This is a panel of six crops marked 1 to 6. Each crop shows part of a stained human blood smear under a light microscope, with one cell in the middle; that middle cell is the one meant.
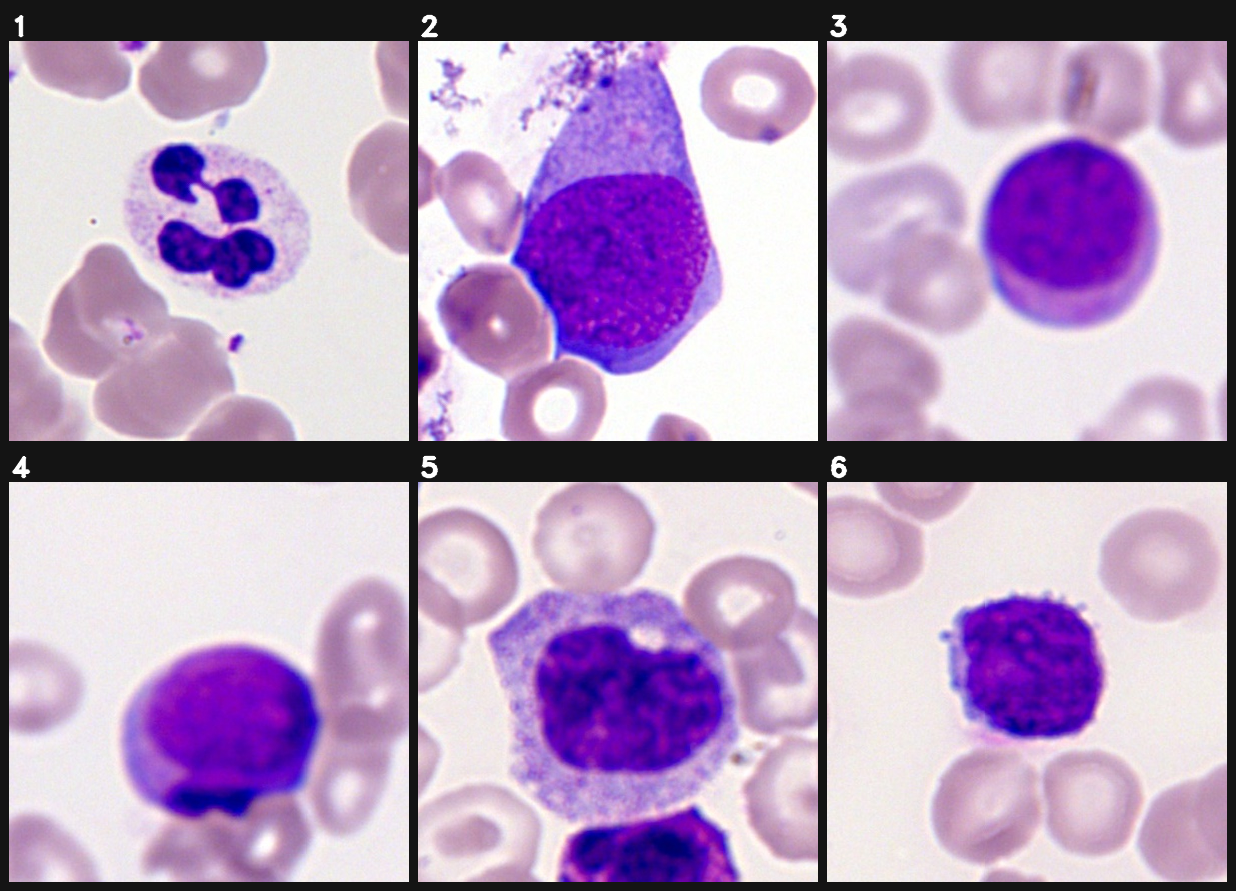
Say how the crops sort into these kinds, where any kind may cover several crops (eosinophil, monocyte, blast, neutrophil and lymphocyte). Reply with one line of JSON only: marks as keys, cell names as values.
{"1": "neutrophil", "2": "blast", "3": "blast", "4": "blast", "5": "monocyte", "6": "lymphocyte"}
